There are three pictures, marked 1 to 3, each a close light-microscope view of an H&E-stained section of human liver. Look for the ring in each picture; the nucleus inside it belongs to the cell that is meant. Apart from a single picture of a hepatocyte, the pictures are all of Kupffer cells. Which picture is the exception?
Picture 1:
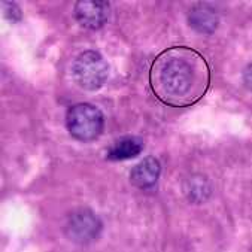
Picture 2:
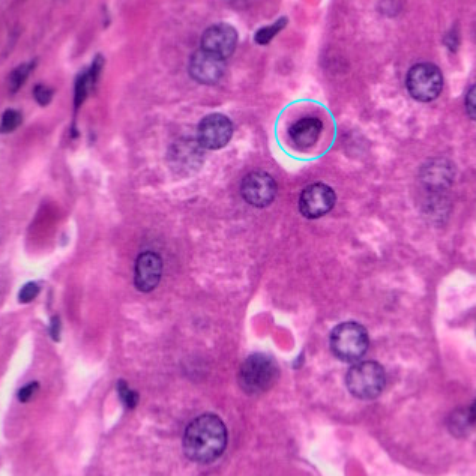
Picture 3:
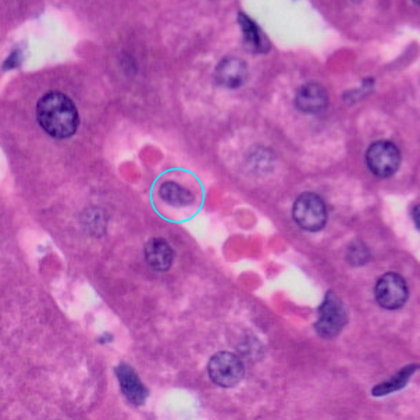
1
